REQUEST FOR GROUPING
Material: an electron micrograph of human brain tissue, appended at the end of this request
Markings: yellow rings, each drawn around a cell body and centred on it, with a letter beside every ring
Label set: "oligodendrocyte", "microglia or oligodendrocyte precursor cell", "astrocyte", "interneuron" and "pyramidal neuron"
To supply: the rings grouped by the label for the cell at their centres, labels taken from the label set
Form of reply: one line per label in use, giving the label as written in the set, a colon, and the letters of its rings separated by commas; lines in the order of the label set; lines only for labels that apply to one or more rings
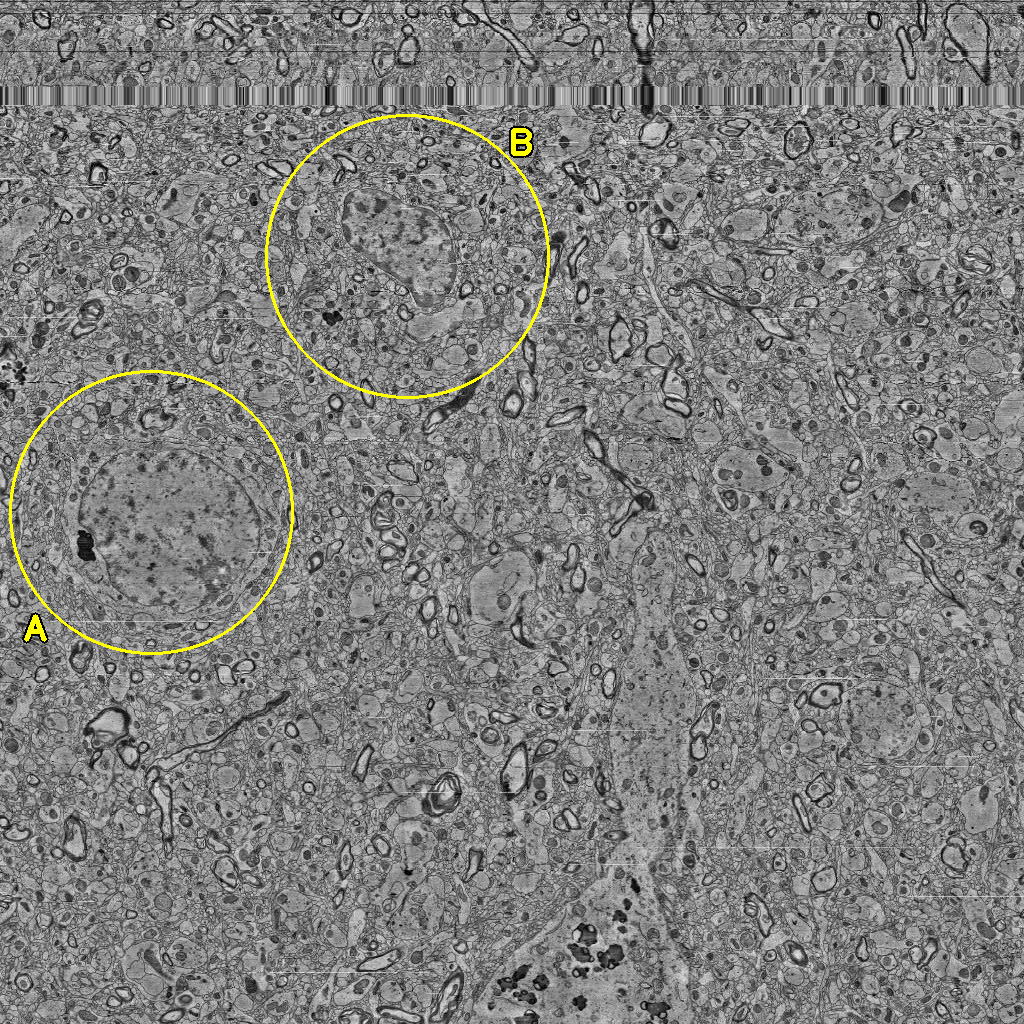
microglia or oligodendrocyte precursor cell: B
interneuron: A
